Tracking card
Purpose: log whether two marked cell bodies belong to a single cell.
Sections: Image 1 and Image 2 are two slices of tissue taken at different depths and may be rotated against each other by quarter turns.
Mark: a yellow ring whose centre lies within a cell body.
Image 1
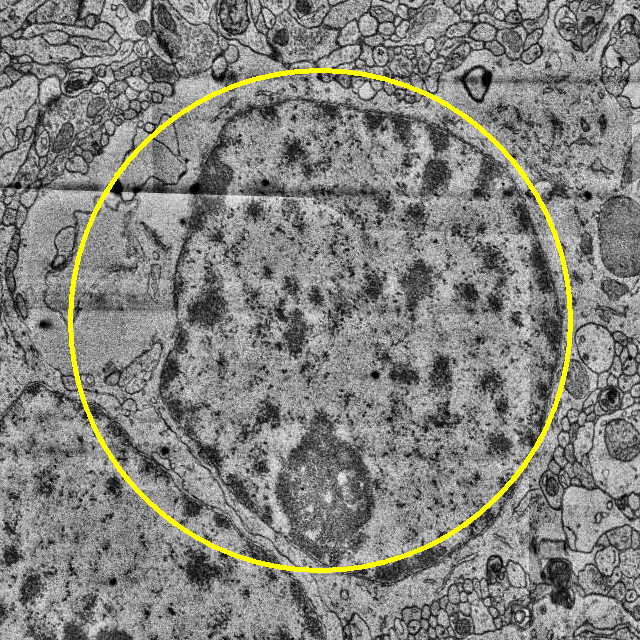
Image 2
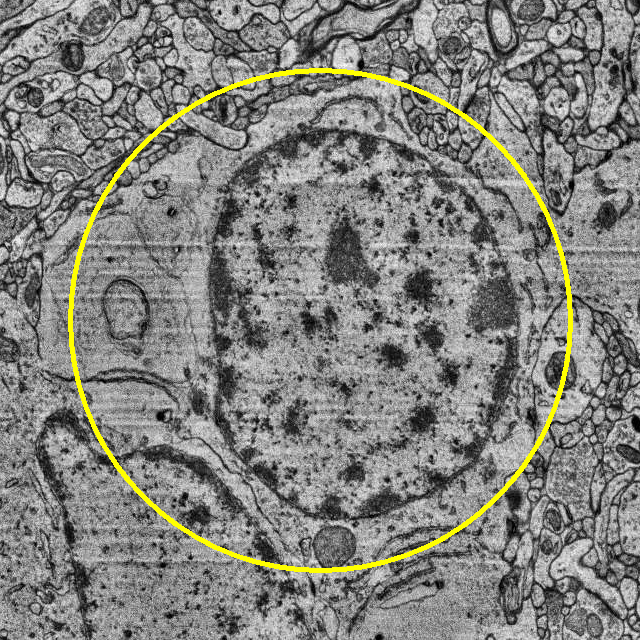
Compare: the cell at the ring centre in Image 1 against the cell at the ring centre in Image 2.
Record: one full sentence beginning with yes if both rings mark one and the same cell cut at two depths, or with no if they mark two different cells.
Yes, what the two rings mark is one cell.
